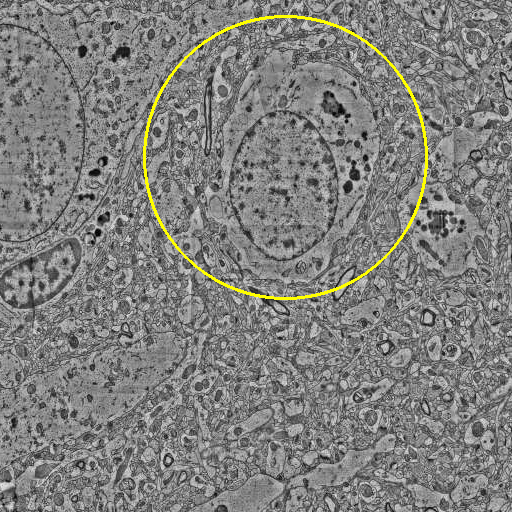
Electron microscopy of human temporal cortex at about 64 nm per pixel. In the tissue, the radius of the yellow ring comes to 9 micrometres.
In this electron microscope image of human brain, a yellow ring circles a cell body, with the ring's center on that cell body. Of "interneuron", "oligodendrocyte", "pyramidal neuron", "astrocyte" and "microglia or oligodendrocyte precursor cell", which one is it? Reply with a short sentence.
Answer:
It is an astrocyte at the center of the ring.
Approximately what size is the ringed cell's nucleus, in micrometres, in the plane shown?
The nucleus is approximately 10 micrometers long by 7 micrometers wide in this plane.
